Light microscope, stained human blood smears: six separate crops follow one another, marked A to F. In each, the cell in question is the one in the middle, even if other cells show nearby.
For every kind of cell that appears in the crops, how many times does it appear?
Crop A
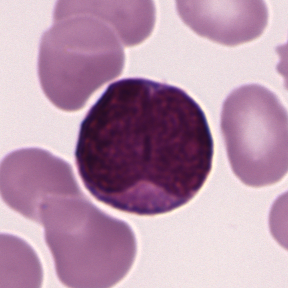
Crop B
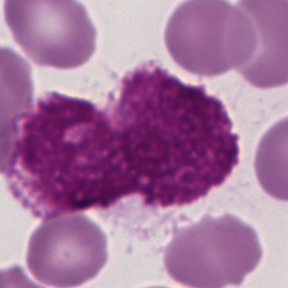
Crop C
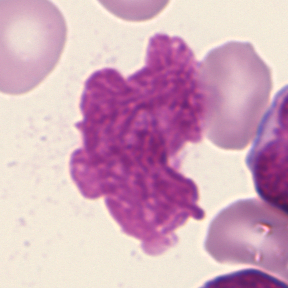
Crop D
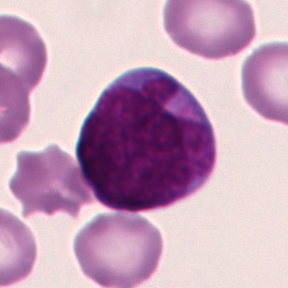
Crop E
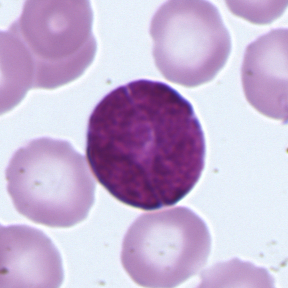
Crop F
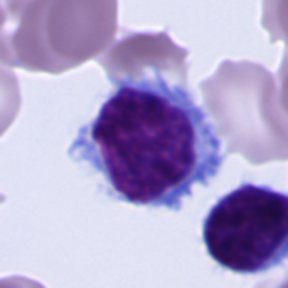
myeloblast: 3
smudge cell: 2
hairy cell: 1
